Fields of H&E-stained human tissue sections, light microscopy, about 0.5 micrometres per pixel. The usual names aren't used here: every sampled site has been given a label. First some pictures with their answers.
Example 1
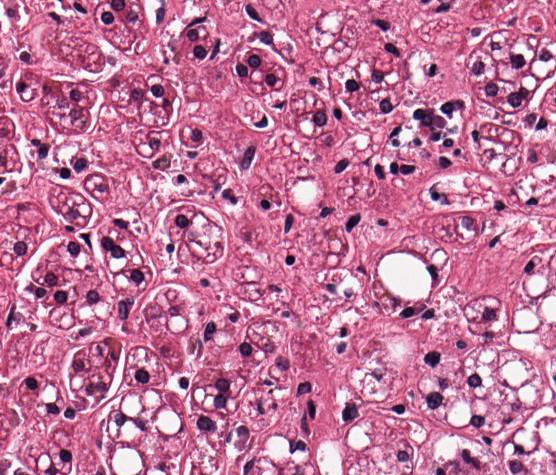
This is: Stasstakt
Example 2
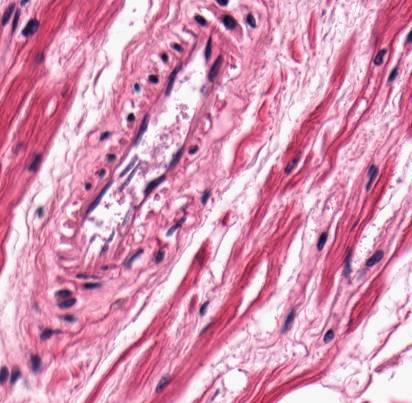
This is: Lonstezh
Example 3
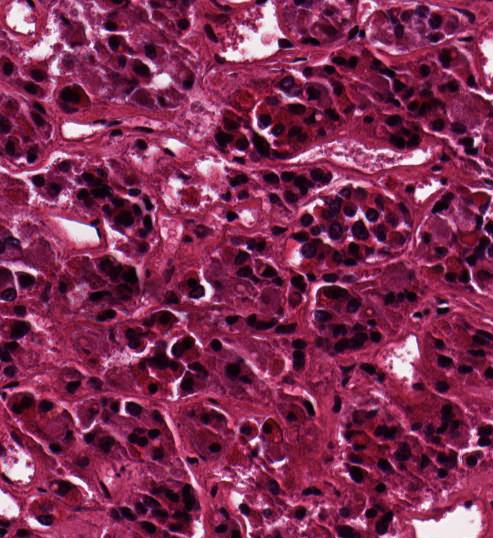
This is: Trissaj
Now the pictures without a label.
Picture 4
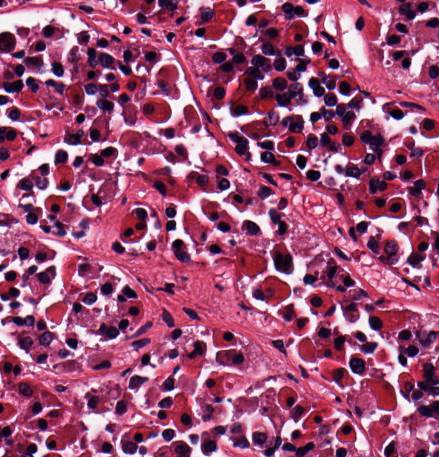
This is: Trissaj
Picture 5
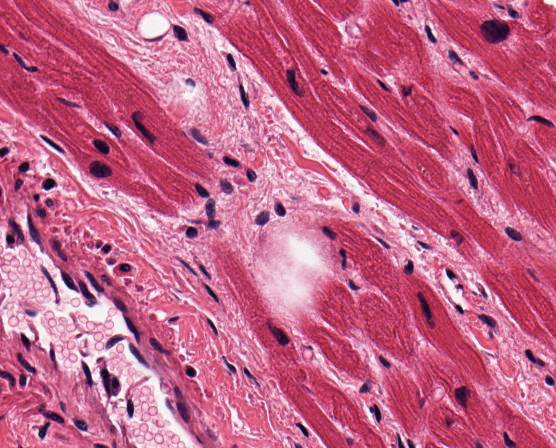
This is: Lonstezh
